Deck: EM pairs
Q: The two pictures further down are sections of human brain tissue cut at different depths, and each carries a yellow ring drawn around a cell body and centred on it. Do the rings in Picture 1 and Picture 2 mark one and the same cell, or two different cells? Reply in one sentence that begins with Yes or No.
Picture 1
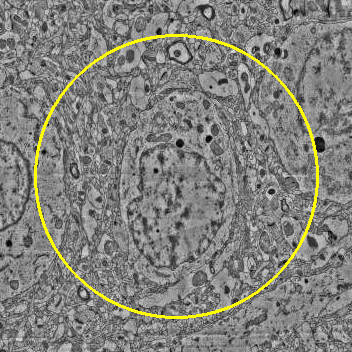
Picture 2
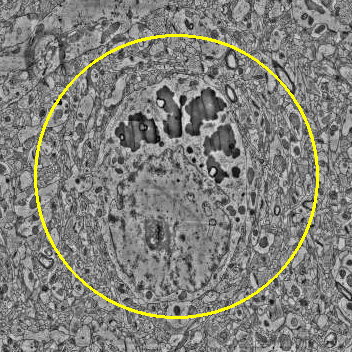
Yes, one single cell is under each of the two rings.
